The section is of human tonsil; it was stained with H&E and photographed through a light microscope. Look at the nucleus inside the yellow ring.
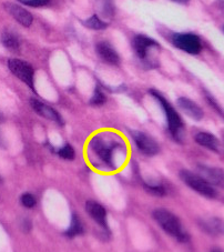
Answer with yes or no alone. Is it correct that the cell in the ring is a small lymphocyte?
no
